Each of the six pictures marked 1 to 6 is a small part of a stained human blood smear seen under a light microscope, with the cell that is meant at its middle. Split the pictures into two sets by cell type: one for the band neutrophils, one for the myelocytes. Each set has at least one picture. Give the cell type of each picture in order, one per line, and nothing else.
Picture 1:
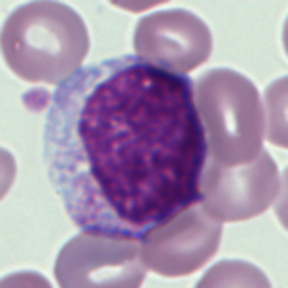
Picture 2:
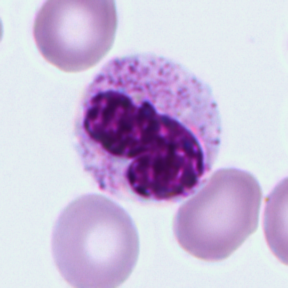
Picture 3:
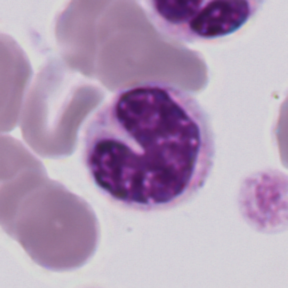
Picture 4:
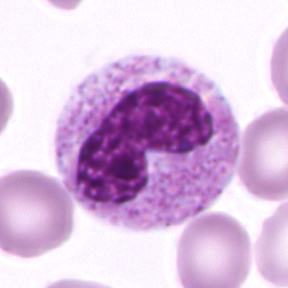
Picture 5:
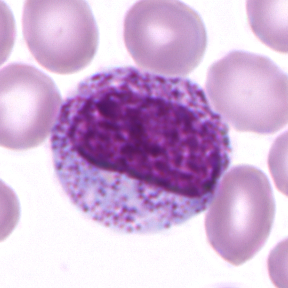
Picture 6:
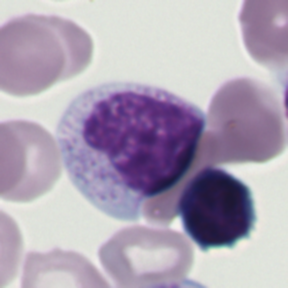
myelocyte
band neutrophil
band neutrophil
band neutrophil
myelocyte
myelocyte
